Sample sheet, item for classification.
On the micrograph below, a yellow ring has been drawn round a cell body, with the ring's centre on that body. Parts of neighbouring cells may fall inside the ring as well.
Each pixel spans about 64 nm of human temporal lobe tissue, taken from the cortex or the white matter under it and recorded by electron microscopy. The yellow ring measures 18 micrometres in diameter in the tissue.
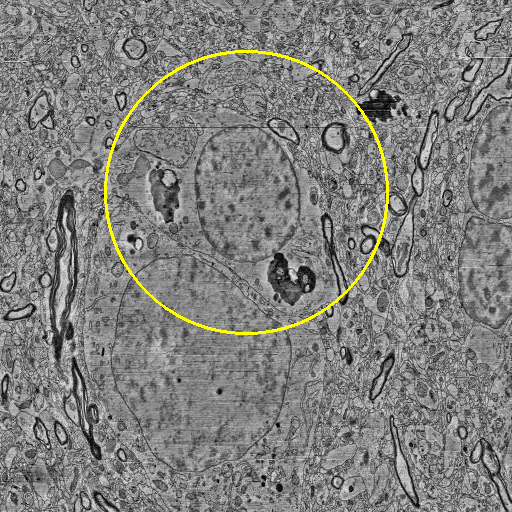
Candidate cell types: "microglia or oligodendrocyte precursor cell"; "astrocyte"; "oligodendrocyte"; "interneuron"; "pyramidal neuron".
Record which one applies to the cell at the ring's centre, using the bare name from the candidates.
astrocyte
